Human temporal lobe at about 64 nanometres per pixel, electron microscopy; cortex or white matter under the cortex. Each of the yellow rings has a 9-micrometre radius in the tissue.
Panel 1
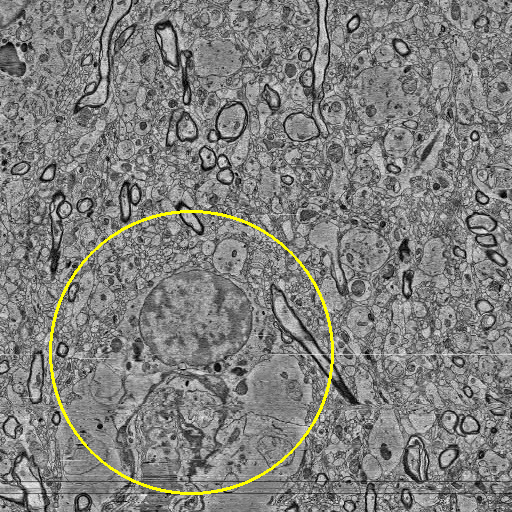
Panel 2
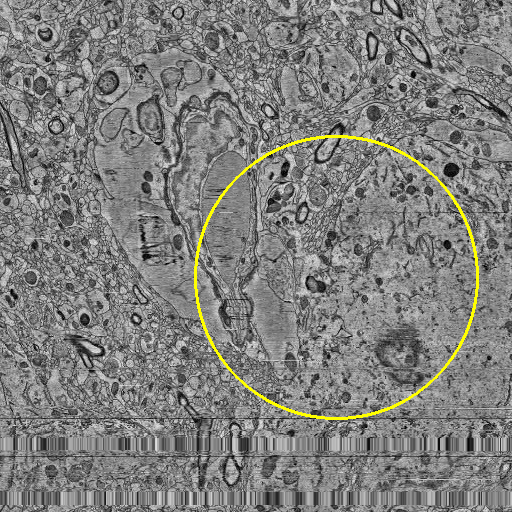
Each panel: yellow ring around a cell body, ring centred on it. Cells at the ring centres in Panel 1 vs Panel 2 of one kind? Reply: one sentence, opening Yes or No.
No, Panel 1 and Panel 2 have cells of two kinds at the ring centres.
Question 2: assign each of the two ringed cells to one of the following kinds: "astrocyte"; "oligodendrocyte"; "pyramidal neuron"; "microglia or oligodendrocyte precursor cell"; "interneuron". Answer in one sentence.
The two cells are an oligodendrocyte in the first picture and a microglial cell or oligodendrocyte precursor cell in the second.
